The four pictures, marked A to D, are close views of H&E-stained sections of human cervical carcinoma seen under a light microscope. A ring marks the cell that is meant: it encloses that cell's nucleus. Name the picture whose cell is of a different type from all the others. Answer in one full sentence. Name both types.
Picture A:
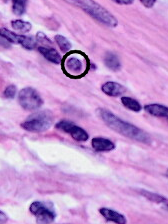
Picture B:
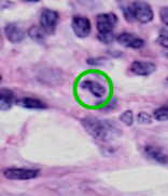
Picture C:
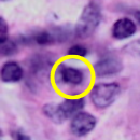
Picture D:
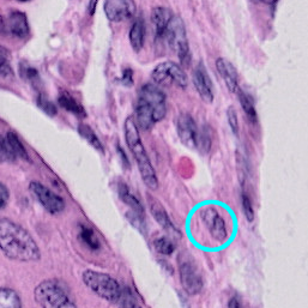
Unlike the rest, which show lymphocytes, picture D shows an endothelial cell.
